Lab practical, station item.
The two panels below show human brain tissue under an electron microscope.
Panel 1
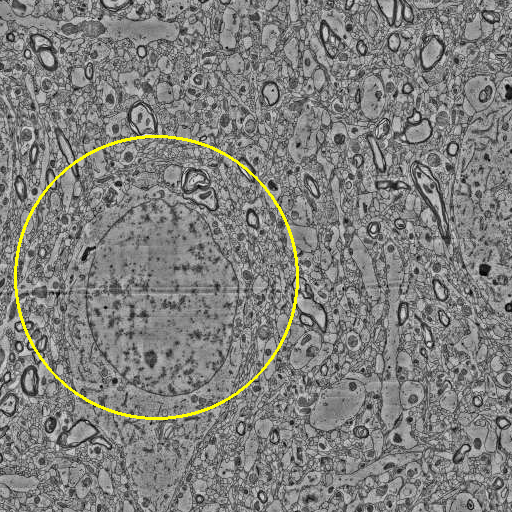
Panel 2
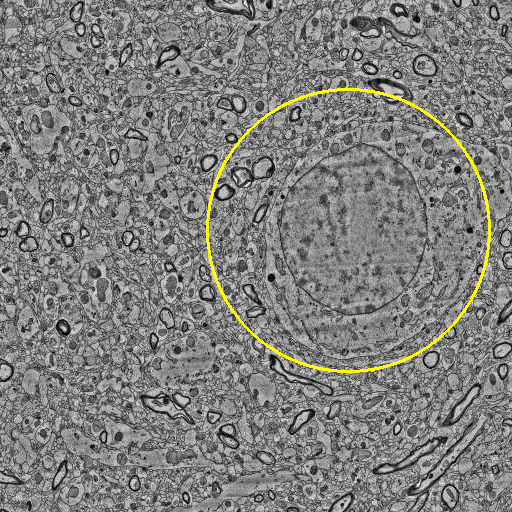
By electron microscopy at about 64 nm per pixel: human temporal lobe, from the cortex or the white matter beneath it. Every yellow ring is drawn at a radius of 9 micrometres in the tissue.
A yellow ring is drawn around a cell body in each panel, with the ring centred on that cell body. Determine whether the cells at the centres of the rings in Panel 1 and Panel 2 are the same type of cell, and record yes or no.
yes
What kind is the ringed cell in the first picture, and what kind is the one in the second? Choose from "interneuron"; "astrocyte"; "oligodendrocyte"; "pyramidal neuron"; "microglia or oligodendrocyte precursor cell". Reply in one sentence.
Each of the ringed cells, first and second, is a pyramidal neuron.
